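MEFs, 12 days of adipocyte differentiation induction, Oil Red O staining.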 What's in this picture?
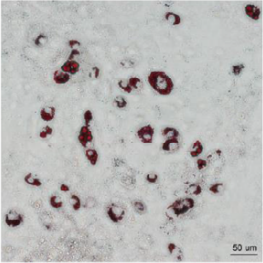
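The lipid-laden cells are rounded and scattered singly or in small clusters across the field. In many of them the red material fills the cytoplasm as a ring or crescent around a paler centre. Between them lie many pale, unstained cells whose outlines are only faintly visible against the light grey background.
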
